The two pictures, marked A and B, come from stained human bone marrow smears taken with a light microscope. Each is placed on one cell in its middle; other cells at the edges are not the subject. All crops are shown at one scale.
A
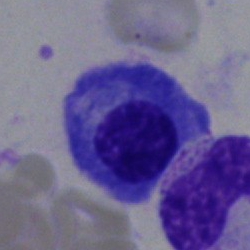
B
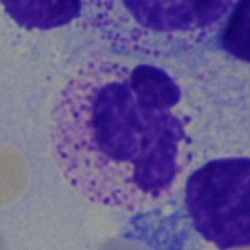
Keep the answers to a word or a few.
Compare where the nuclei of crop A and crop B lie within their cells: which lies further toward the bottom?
A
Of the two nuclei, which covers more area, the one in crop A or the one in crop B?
B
